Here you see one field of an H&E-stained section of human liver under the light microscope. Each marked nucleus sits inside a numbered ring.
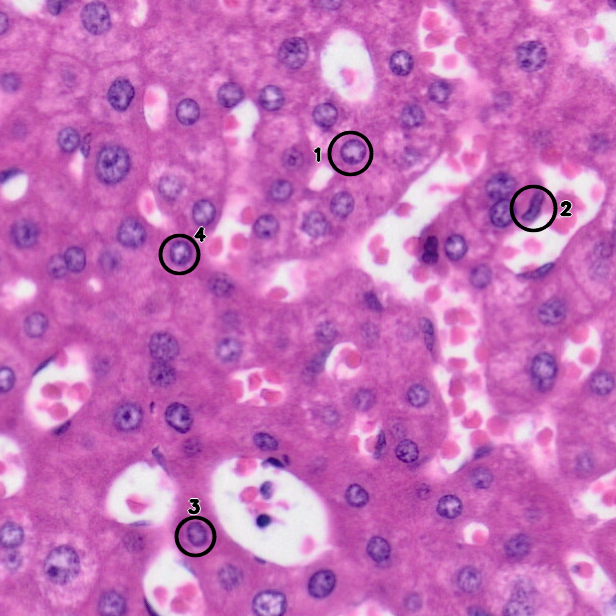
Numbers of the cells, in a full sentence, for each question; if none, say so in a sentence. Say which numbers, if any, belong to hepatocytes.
The cells the numbers 1, 3 and 4 point to are hepatocytes.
